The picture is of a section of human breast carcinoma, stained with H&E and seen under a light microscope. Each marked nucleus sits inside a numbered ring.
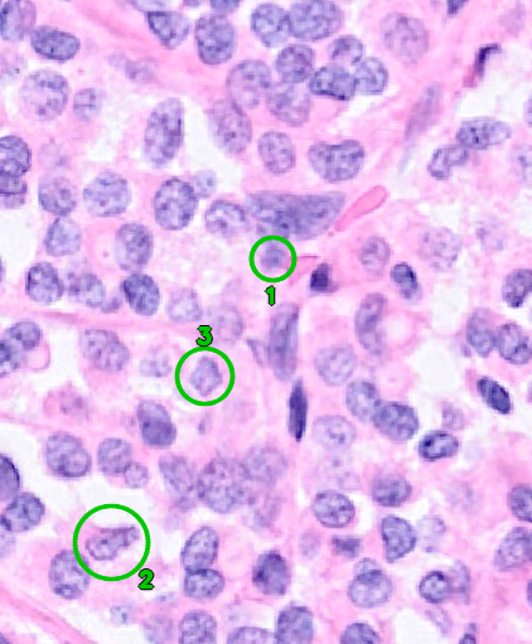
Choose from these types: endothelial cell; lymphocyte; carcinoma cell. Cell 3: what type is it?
carcinoma cell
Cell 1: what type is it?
endothelial cell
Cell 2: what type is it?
carcinoma cell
